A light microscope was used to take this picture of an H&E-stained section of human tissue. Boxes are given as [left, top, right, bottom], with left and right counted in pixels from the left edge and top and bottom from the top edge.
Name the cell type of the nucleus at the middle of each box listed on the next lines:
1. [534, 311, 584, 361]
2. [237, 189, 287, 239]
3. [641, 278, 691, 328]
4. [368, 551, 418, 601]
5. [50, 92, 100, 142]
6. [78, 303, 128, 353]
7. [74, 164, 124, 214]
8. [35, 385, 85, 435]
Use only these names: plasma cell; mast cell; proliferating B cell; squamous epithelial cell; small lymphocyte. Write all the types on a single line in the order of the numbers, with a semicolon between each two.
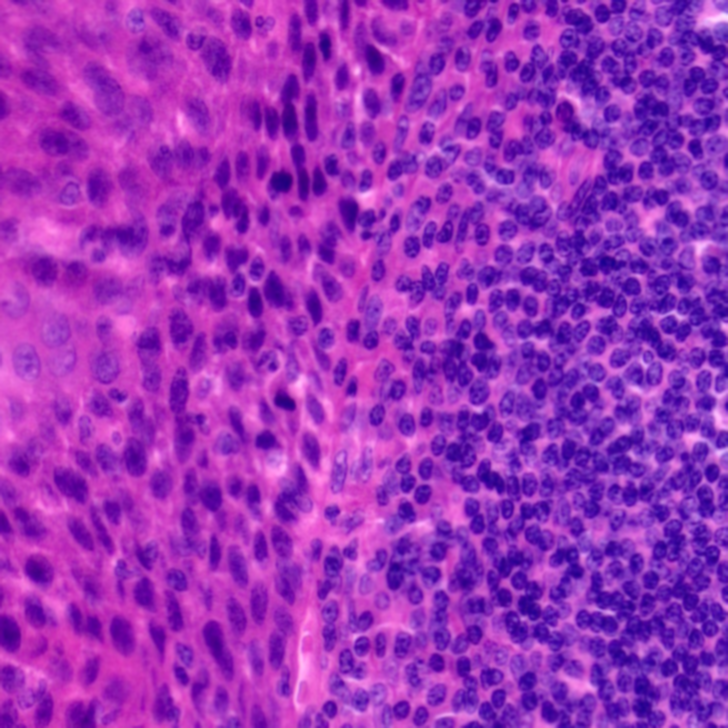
small lymphocyte; squamous epithelial cell; small lymphocyte; plasma cell; squamous epithelial cell; squamous epithelial cell; squamous epithelial cell; squamous epithelial cell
